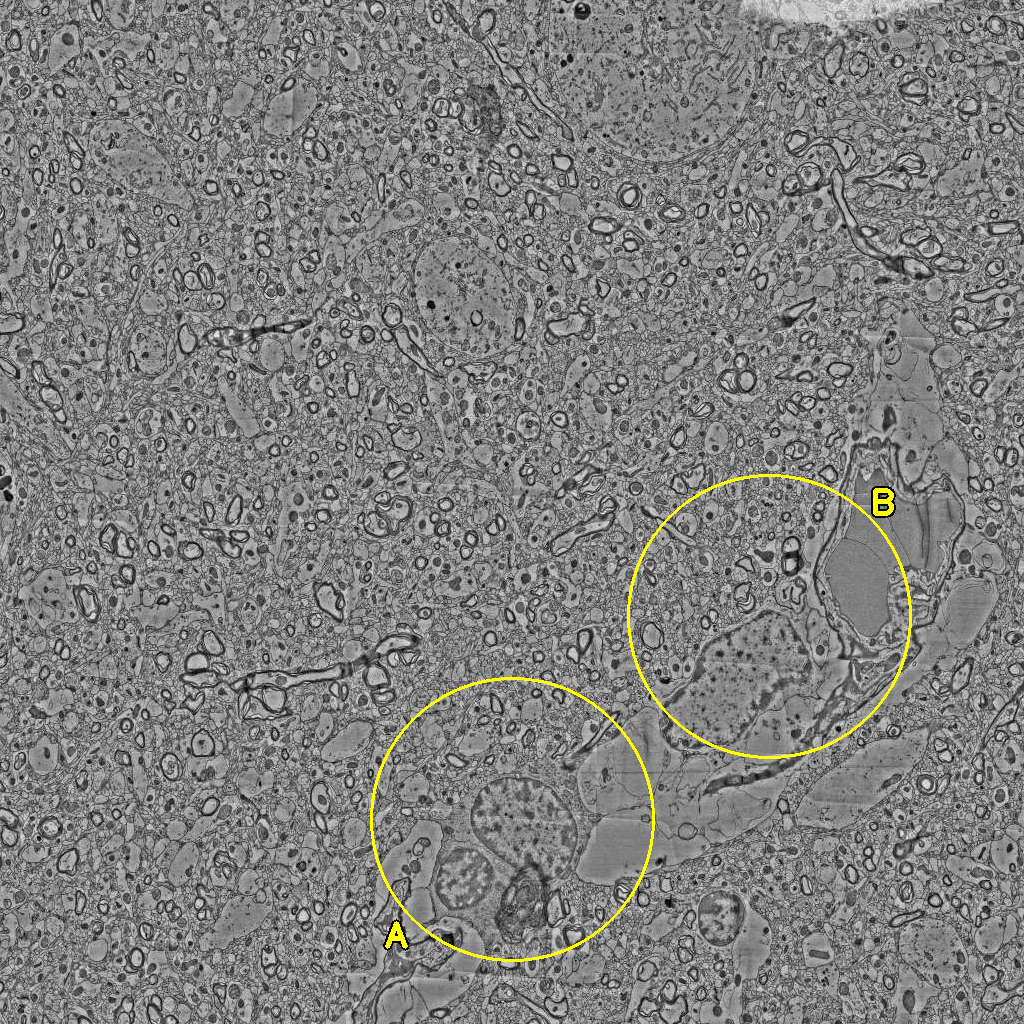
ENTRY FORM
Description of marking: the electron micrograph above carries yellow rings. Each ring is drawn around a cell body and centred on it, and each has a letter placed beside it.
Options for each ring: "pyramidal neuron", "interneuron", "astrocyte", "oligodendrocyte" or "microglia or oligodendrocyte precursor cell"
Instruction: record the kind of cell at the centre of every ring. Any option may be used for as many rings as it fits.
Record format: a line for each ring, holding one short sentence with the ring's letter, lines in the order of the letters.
Ring A surrounds the cell body of an oligodendrocyte.
Ring B surrounds the cell body of a microglial cell or oligodendrocyte precursor cell.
